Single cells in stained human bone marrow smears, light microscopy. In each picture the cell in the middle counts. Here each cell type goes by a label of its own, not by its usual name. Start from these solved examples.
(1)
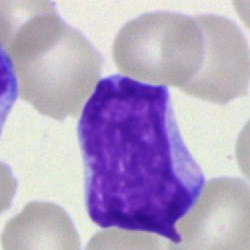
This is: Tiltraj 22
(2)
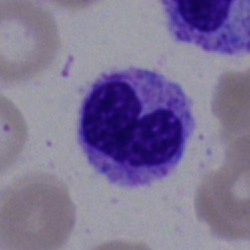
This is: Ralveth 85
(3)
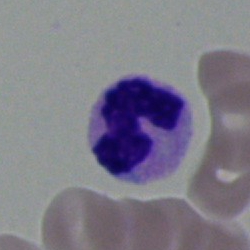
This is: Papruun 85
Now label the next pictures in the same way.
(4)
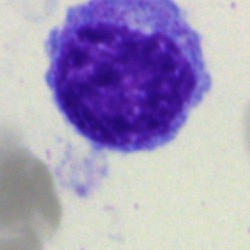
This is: Tiltraj 22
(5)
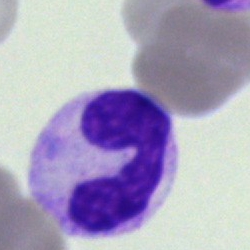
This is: Ralveth 85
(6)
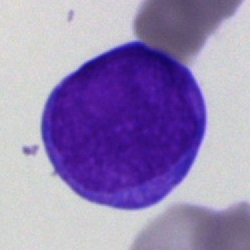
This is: Tiltraj 22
